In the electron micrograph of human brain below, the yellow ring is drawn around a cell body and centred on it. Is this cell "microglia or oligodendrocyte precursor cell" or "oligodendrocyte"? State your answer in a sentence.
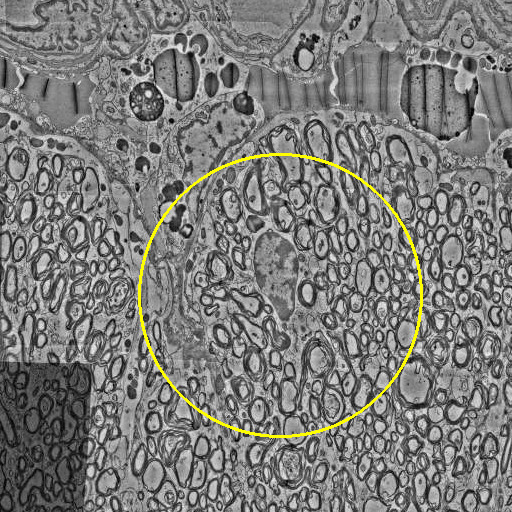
The cell in the middle of the ring is a microglial cell or oligodendrocyte precursor cell.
